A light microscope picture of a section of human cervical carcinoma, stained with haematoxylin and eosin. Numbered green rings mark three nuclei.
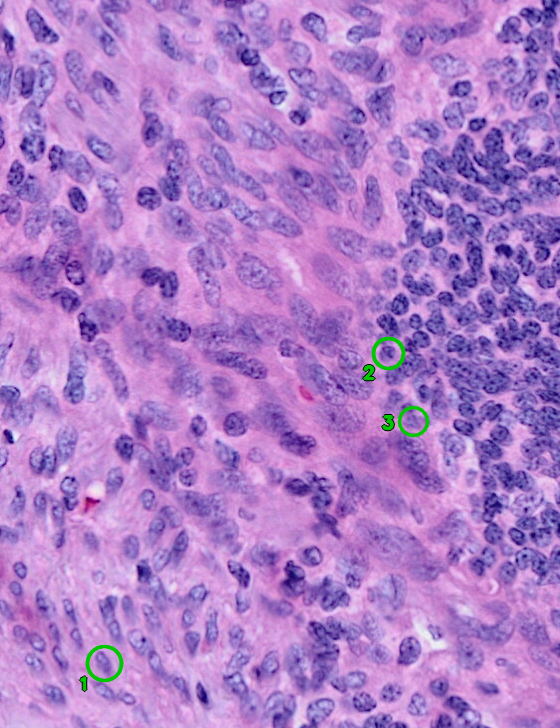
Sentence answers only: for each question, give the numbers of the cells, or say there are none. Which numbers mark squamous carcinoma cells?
So, the cells with numbers 2 and 3 are squamous carcinoma cells.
